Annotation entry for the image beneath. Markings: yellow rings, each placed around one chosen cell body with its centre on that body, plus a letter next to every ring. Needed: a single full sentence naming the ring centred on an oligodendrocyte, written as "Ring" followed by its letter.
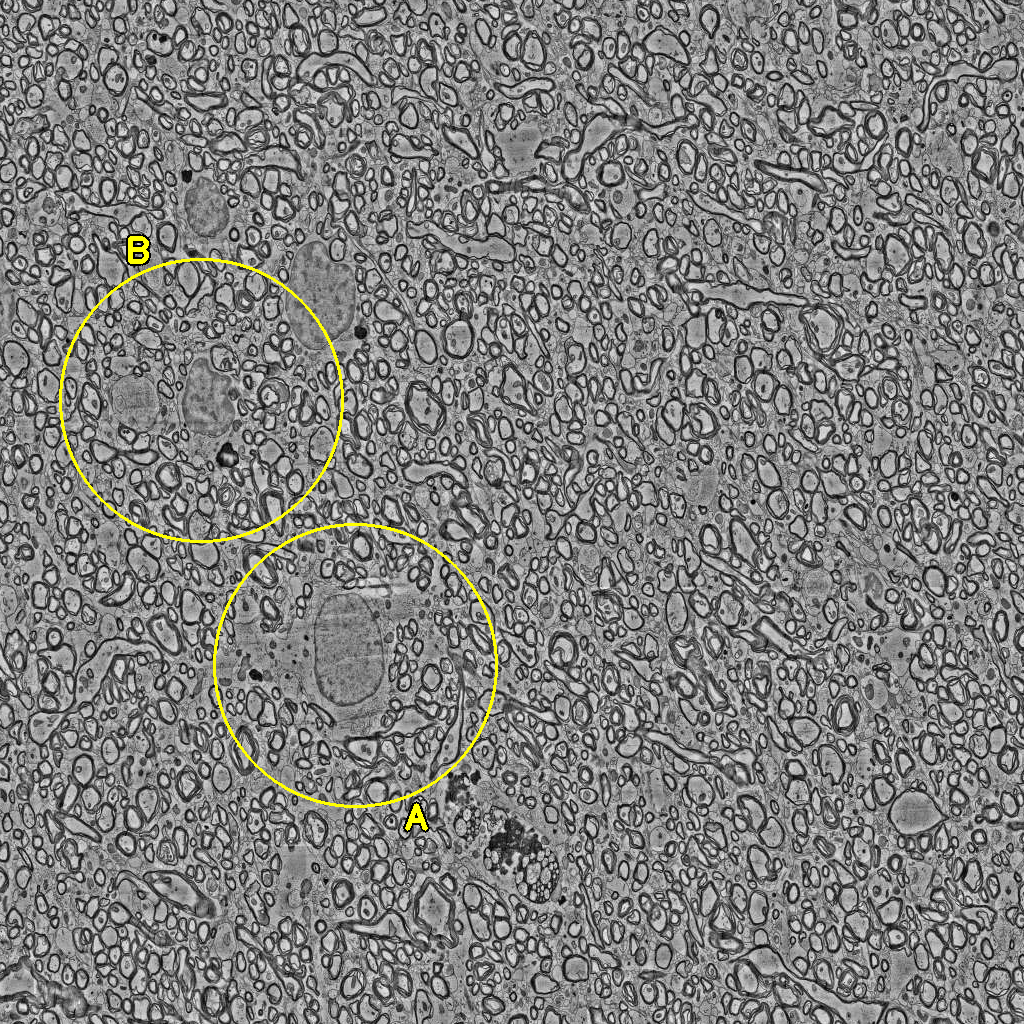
The image shows the cell in question at the centre of Ring B.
